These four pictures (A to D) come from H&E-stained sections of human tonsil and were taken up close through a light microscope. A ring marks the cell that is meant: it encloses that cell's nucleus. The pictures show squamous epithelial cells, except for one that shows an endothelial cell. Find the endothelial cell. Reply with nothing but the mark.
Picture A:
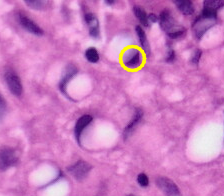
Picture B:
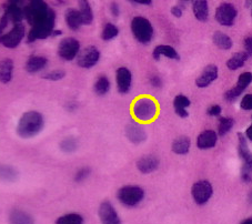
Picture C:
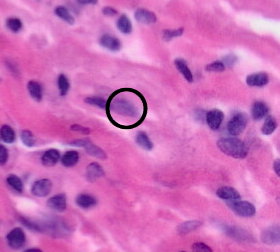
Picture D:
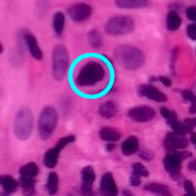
C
